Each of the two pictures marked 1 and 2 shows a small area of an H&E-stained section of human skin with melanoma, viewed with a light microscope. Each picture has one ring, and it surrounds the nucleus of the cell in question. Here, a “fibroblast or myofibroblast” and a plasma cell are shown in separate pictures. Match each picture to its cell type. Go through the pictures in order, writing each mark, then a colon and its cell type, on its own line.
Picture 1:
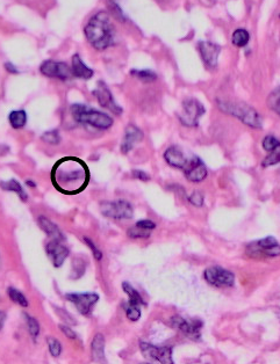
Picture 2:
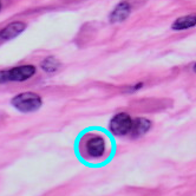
1: fibroblast or myofibroblast
2: plasma cell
